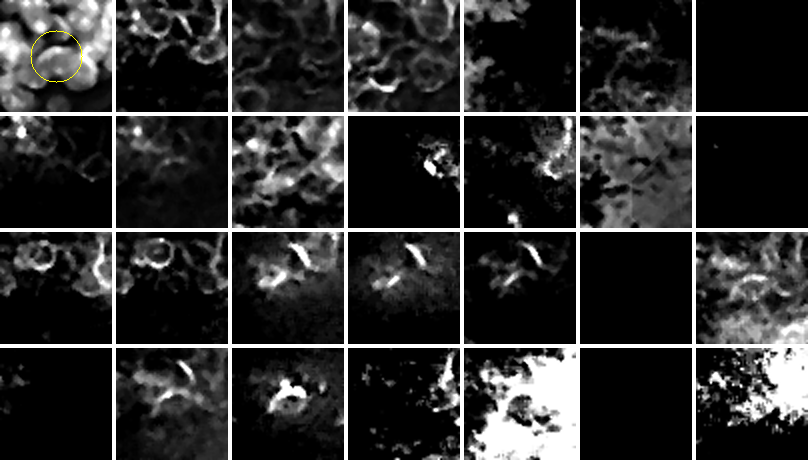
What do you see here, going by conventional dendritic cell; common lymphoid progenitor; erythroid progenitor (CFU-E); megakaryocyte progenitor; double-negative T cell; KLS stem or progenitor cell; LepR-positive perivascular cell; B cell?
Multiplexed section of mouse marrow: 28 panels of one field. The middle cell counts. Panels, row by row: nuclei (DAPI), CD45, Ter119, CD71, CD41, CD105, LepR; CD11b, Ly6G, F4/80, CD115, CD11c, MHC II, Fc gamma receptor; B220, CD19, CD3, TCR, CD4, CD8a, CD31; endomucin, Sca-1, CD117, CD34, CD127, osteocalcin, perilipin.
I see an erythroid progenitor (CFU-E).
